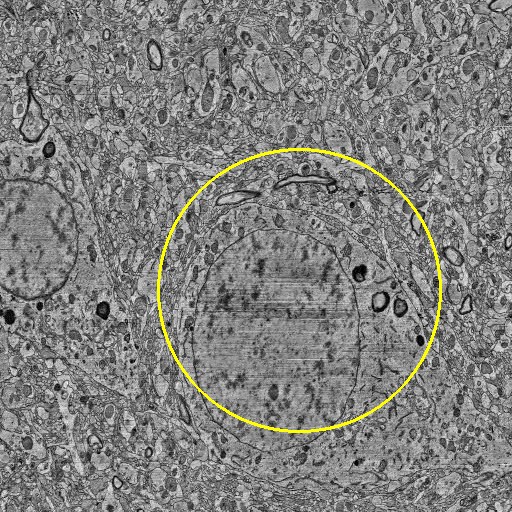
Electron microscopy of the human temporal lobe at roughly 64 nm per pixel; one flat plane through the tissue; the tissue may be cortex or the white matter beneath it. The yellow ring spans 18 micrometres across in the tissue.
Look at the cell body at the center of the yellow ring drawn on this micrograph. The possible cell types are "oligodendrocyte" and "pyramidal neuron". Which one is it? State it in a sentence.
The cell in the middle of the ring is a pyramidal neuron.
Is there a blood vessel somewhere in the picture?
No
